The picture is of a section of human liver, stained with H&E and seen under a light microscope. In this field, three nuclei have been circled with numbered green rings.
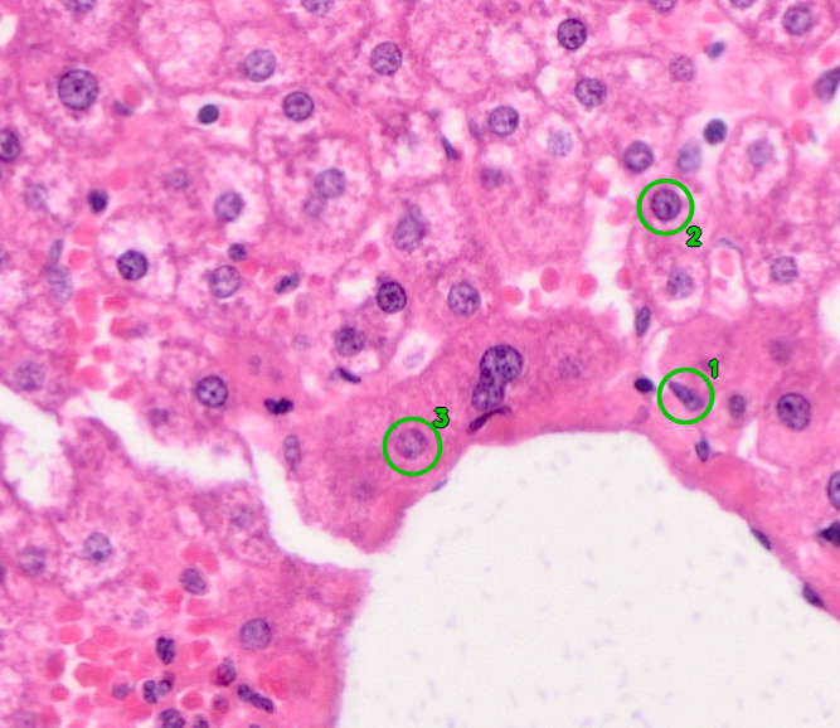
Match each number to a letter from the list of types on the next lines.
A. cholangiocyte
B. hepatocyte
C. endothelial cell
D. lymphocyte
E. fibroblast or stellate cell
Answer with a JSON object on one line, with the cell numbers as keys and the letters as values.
{"1": "E", "2": "B", "3": "B"}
